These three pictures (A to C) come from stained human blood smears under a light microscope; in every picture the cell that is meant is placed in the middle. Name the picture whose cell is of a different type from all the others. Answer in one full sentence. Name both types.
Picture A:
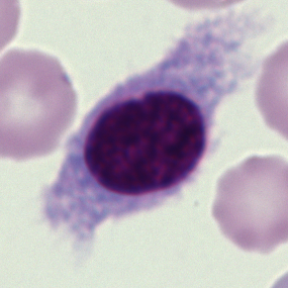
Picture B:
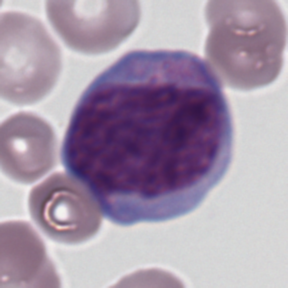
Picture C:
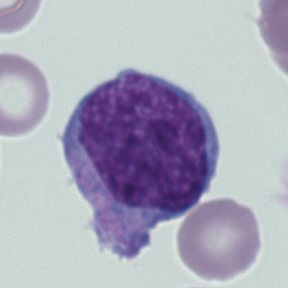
Picture A is the odd one out: it shows a hairy cell, while the others show atypical promyelocytes.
